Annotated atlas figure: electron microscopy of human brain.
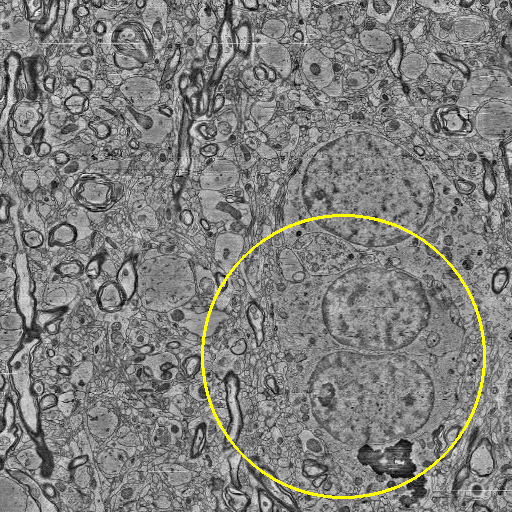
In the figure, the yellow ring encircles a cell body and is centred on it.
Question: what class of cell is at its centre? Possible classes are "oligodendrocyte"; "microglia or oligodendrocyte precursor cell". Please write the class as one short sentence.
The yellow ring is drawn around an oligodendrocyte.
